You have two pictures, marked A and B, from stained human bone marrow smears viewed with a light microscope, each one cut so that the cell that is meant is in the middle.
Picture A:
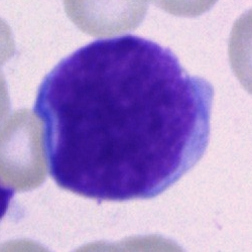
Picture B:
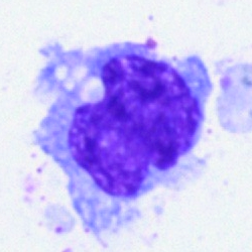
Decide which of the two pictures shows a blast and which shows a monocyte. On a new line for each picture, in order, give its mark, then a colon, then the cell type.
A: blast
B: monocyte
